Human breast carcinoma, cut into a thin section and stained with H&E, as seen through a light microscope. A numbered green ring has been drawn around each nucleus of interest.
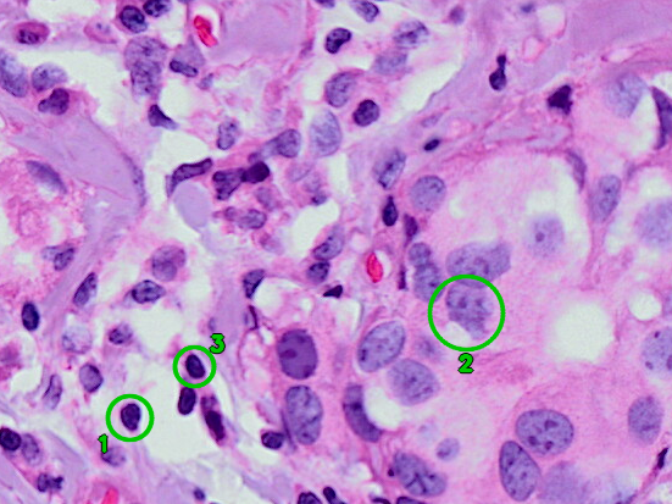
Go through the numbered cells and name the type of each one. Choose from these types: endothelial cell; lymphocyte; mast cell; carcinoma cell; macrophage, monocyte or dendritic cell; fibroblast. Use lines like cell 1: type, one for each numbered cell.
cell 1: lymphocyte
cell 2: carcinoma cell
cell 3: lymphocyte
